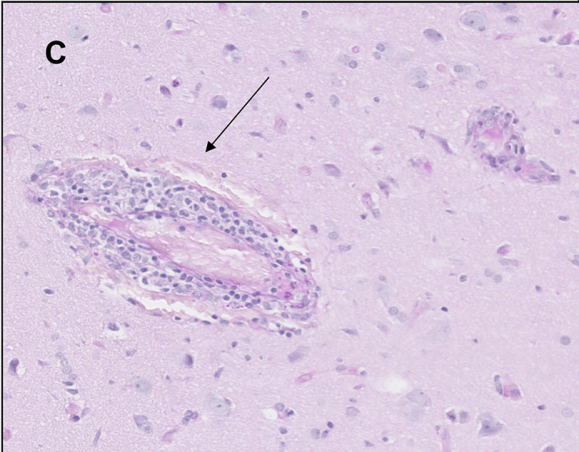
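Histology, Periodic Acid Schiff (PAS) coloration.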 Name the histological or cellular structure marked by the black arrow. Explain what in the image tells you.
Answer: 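The arrow points to an elongated, obliquely cut tubular structure with a thin pink wall and a central lumen. The structure is small, well under the width of the panel, and lies within pale fibrillary tissue. The answer: Small vessels.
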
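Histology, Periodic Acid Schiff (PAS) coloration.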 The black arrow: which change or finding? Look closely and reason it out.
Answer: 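The vessel wall is cuffed by many small cells with round, dark purple nuclei and scant cytoplasm. No multinucleated giant cells or epithelioid clusters are visible around the vessel.
Conclusion: non-granulomatous lymphocytic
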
